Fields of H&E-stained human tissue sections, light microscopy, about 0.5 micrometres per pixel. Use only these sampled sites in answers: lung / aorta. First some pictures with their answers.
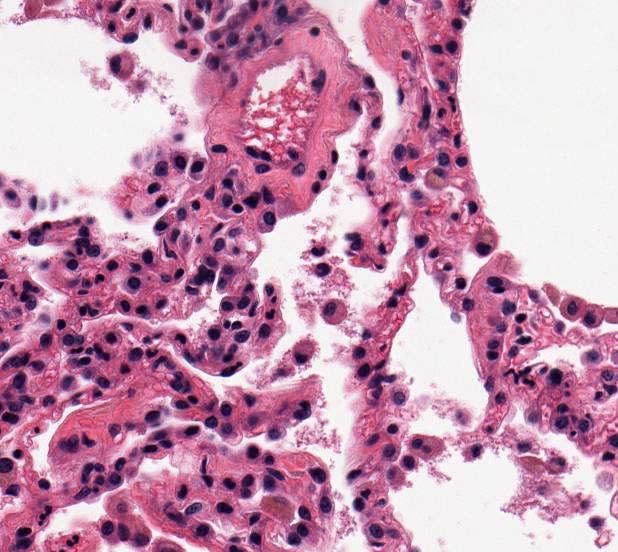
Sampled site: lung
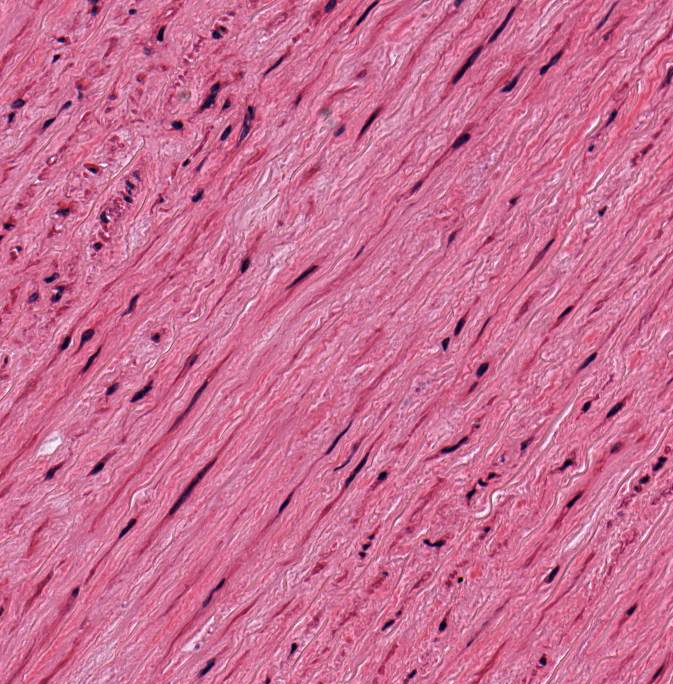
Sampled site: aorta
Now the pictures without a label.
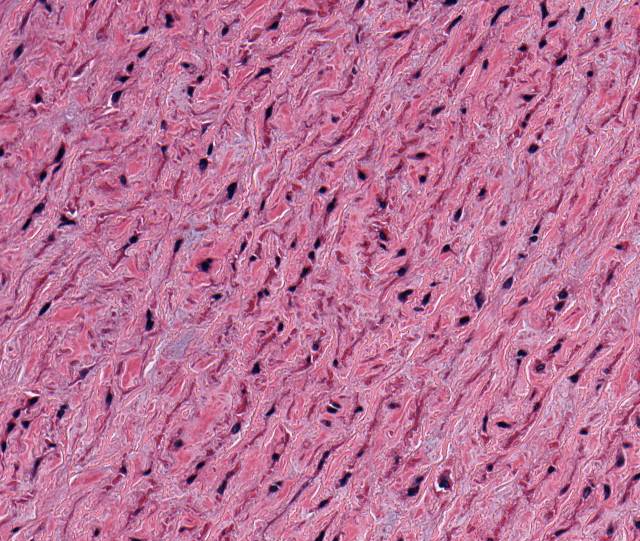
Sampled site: aorta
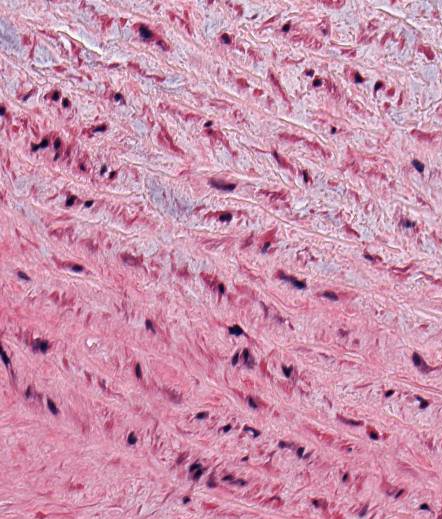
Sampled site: aorta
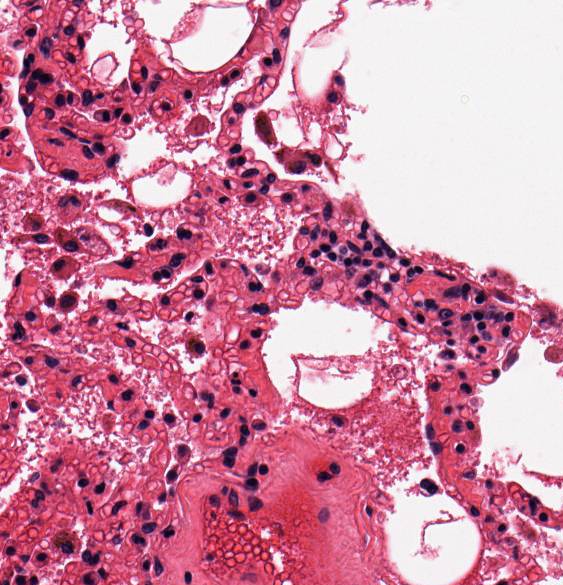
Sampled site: lung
